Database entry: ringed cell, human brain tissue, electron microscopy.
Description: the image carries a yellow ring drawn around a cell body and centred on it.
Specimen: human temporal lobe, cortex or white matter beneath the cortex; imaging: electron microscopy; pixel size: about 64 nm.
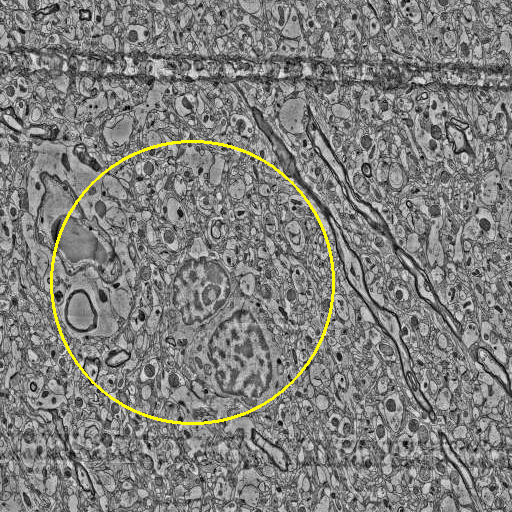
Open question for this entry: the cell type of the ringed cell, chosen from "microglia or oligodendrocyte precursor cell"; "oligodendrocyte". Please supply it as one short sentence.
The ringed cell is an oligodendrocyte.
